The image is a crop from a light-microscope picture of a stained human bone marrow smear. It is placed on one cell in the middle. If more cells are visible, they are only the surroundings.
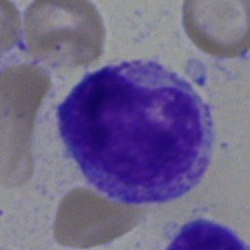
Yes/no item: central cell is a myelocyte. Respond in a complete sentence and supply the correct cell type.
Yes, the cell centred in the field of view is a myelocyte.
